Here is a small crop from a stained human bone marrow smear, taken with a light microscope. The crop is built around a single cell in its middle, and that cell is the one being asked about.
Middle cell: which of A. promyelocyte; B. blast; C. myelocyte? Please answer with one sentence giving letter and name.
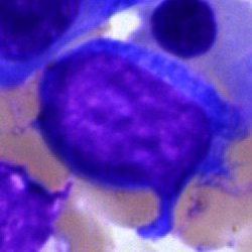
The central cell of the crop is a blast, which makes B the correct option.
